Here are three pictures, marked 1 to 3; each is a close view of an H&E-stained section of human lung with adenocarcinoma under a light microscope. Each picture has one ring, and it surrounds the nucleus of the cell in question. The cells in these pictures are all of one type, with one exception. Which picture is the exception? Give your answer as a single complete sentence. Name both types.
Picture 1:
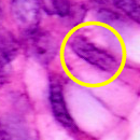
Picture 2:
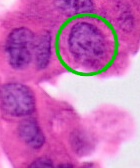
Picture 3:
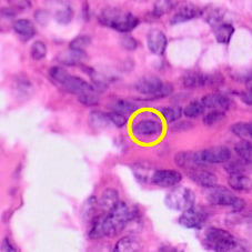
Picture 2 is the odd one out: it shows a carcinoma cell, while the others show ciliated epithelial cells.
